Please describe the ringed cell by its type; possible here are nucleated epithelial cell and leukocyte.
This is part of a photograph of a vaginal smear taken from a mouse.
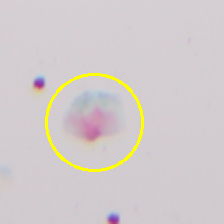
The yellow ring marks a nucleated epithelial cell.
